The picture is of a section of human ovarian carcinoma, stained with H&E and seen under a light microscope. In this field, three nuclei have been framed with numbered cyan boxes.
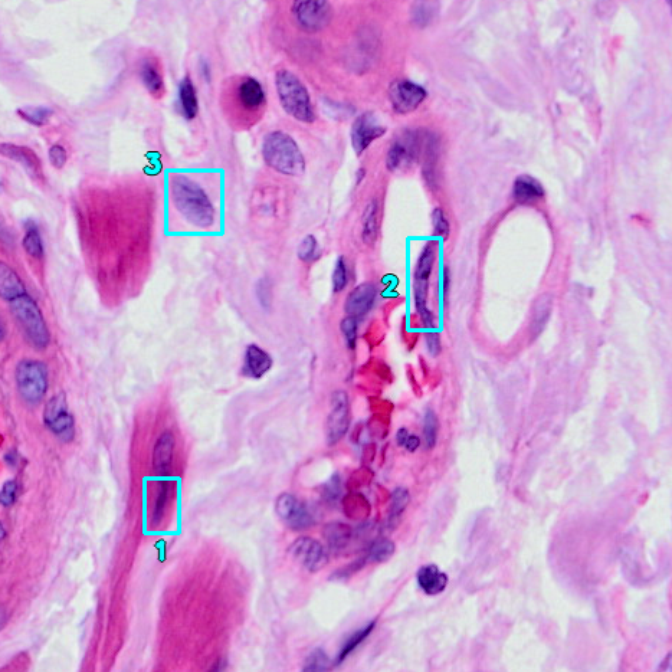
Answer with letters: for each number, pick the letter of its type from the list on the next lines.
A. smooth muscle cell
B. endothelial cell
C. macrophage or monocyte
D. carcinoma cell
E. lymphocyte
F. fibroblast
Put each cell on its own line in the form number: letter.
1: A
2: B
3: F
